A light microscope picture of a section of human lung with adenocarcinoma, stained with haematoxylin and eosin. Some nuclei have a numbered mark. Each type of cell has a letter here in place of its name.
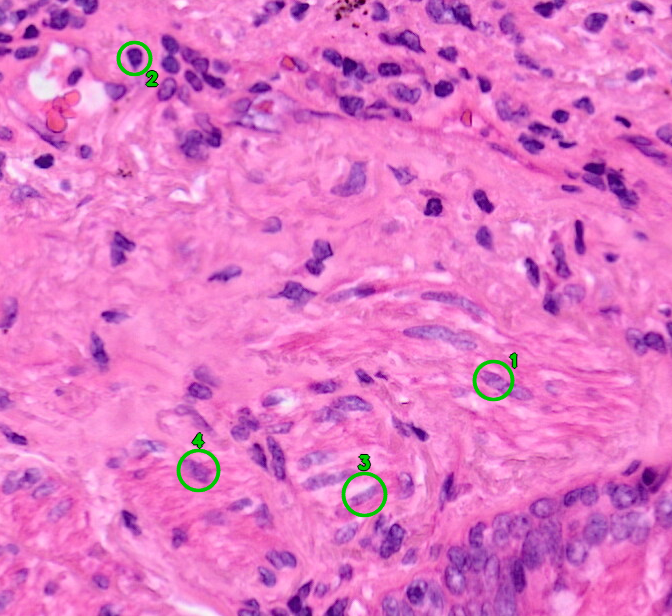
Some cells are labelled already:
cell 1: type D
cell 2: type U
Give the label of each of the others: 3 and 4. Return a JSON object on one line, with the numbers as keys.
{"3": "type D", "4": "type D"}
